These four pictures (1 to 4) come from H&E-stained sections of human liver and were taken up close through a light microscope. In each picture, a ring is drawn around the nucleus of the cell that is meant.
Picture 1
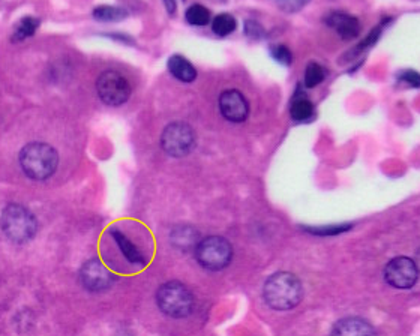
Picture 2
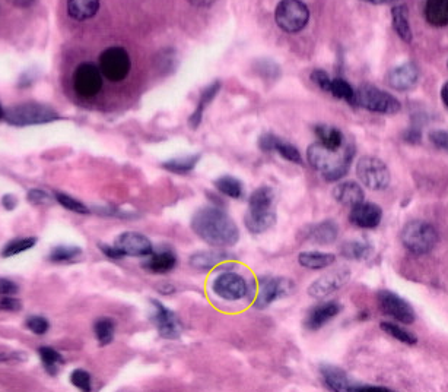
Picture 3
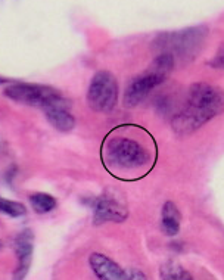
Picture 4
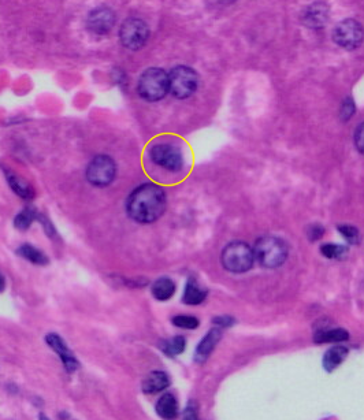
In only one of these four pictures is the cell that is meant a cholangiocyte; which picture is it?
2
